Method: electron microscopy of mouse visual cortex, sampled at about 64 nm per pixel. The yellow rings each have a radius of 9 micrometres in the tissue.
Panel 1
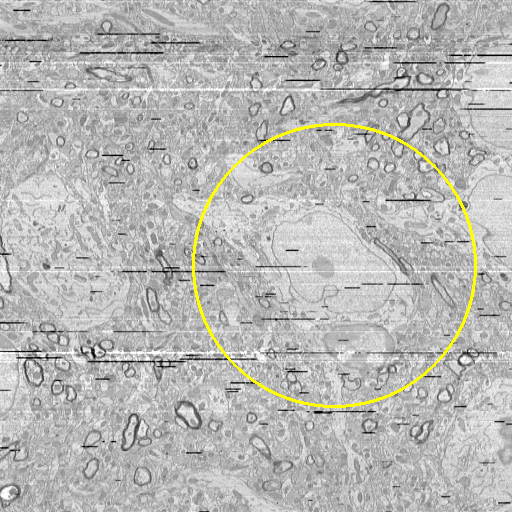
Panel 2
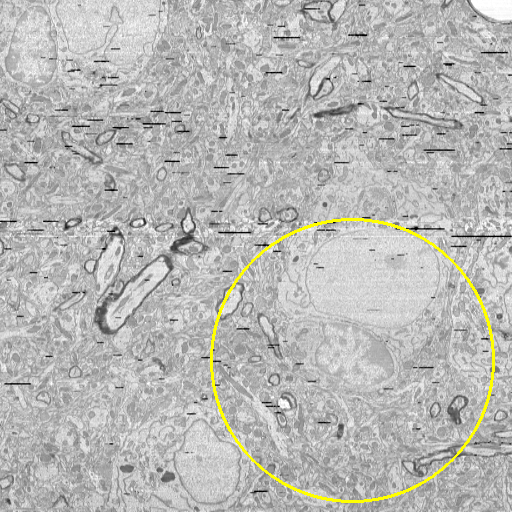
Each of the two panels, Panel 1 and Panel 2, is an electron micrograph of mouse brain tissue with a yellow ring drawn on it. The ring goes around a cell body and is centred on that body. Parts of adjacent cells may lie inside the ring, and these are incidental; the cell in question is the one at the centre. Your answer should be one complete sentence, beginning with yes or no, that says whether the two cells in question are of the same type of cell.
No, the two cells are of two types.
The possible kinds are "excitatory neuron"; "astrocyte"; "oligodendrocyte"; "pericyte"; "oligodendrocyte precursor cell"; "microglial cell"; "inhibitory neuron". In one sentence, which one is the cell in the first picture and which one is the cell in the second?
The cell ringed in the second picture is an oligodendrocyte, whereas the one ringed in the first is an excitatory neuron.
